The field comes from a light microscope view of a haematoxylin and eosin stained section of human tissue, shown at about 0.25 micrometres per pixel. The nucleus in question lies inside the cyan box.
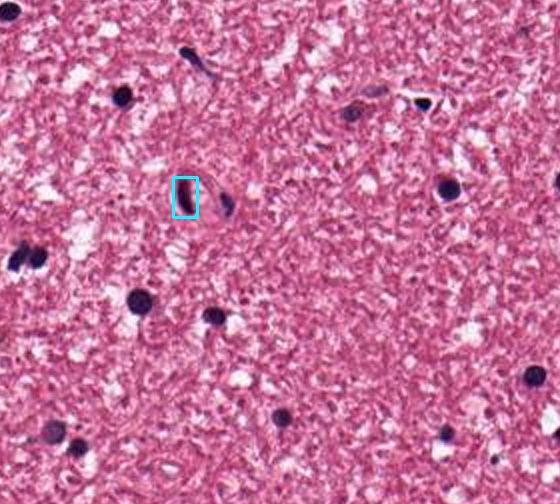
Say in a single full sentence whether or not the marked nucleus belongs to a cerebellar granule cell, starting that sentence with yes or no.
No, the marked nucleus belongs to a supporting cell, and a cerebellar granule cell is not its owner.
